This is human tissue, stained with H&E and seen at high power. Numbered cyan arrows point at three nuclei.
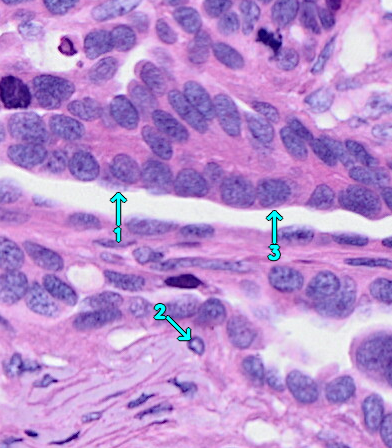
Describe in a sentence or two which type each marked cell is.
Cell 1 is a carcinoma cell, cell 2 is a macrophage or monocyte and cell 3 is a carcinoma cell.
